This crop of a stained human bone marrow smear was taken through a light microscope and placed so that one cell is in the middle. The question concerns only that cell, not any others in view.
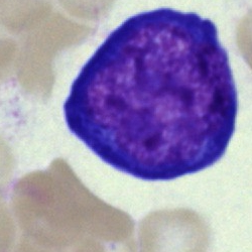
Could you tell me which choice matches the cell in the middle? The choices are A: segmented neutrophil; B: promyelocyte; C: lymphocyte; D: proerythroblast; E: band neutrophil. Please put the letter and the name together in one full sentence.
The middle of the crop contains a proerythroblast, so option D is right.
